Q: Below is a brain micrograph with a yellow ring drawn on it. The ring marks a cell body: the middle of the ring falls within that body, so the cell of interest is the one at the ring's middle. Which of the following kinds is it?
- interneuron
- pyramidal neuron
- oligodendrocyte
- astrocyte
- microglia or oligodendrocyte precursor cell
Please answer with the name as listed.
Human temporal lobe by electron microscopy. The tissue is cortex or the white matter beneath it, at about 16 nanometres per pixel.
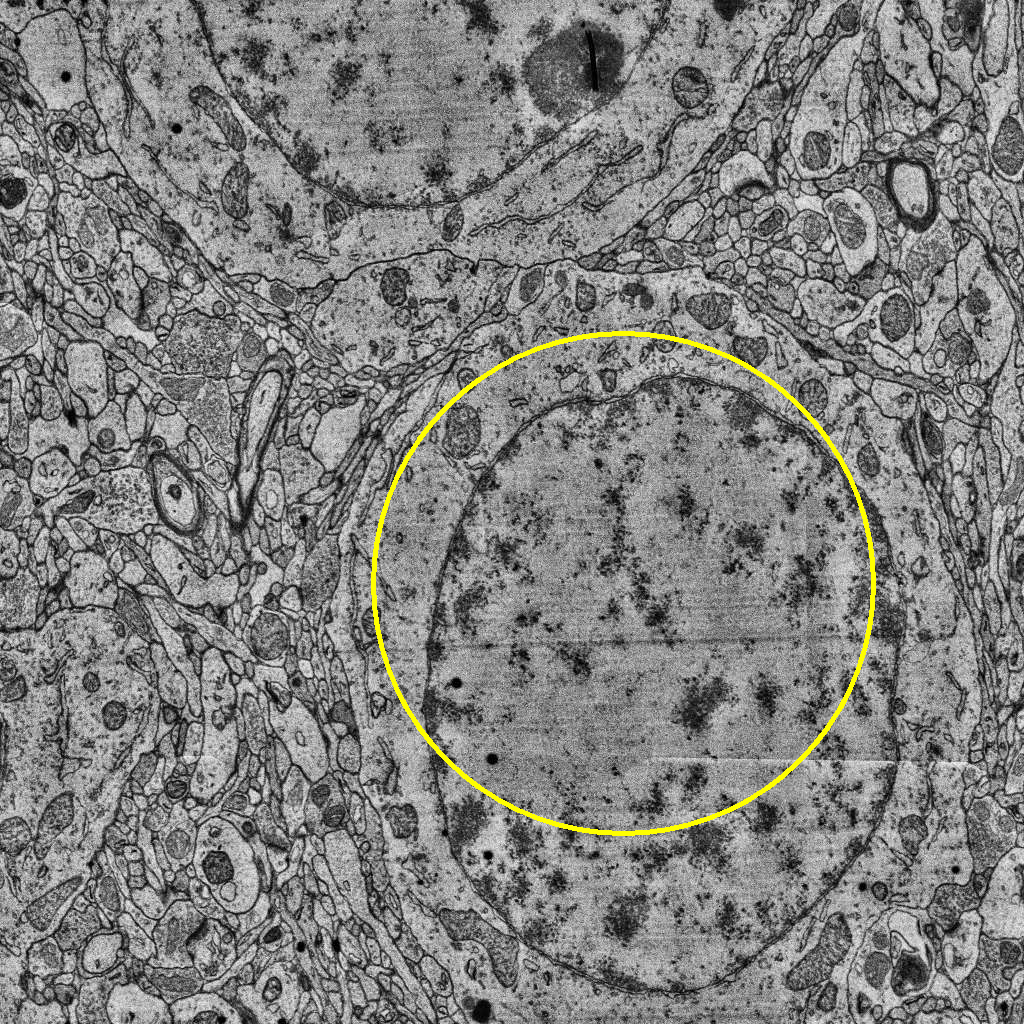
pyramidal neuron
